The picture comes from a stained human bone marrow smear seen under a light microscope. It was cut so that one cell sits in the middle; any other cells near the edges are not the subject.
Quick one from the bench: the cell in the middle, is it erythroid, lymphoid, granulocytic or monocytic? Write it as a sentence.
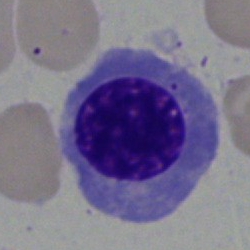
The middle cell of the crop arises from the erythroid lineage.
